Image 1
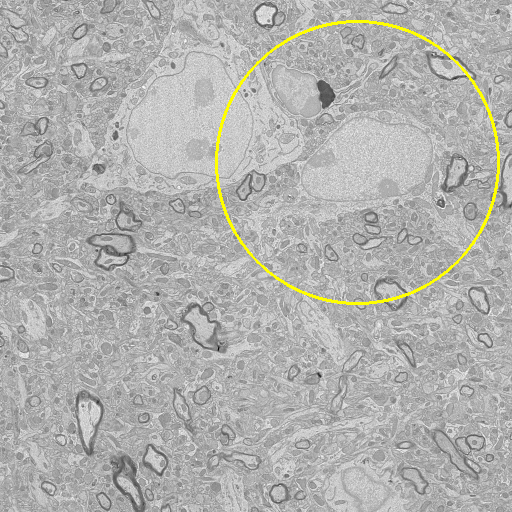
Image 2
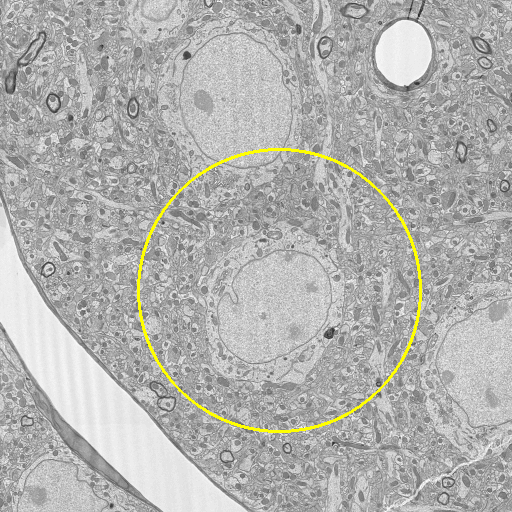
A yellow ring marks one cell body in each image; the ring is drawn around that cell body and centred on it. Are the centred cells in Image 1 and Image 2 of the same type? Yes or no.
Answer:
no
